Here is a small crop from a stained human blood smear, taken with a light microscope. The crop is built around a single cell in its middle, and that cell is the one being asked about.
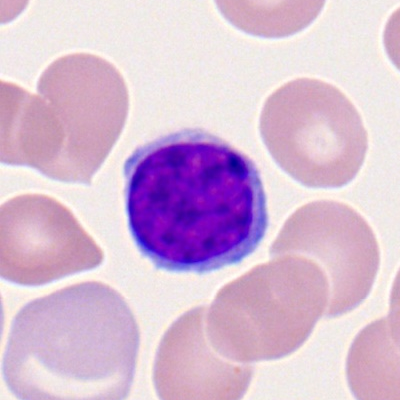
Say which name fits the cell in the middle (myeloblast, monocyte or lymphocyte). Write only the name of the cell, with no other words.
lymphocyte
